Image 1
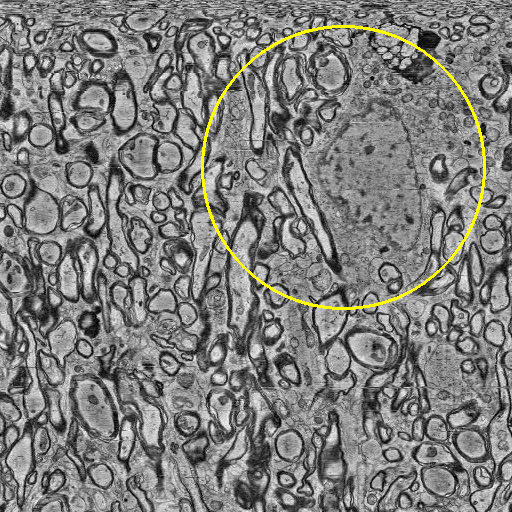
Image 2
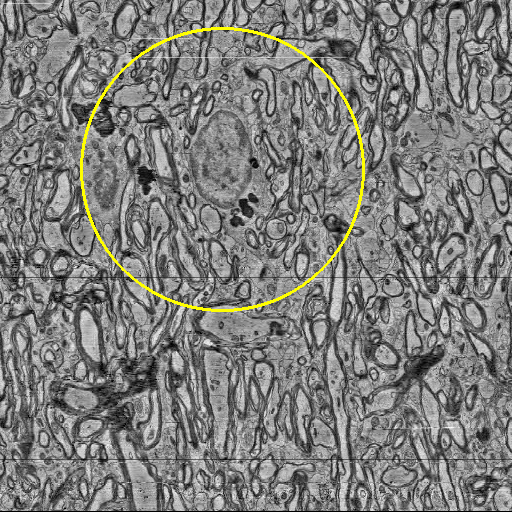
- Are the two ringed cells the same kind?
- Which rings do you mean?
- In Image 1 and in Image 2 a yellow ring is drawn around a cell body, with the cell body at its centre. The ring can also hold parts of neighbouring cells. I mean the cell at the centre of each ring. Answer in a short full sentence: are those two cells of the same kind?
No, the cells are of two kinds.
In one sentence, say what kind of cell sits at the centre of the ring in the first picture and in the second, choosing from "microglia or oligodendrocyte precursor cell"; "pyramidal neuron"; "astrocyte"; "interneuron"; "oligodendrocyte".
The first picture's ringed cell is an astrocyte, while the second picture's is an oligodendrocyte.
